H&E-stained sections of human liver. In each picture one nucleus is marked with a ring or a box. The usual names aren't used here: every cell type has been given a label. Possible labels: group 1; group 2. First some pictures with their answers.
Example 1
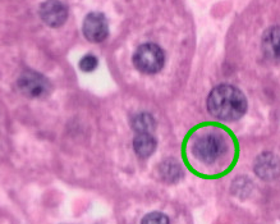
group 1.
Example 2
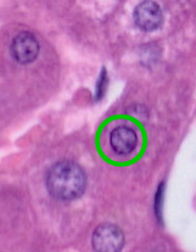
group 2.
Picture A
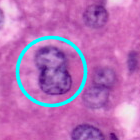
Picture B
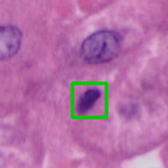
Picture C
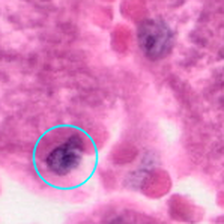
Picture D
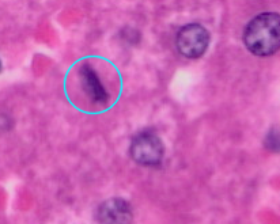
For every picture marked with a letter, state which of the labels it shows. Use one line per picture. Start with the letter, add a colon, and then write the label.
A: group 2.
B: group 1.
C: group 1.
D: group 1.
